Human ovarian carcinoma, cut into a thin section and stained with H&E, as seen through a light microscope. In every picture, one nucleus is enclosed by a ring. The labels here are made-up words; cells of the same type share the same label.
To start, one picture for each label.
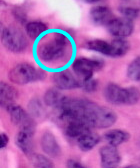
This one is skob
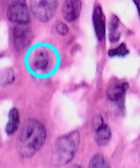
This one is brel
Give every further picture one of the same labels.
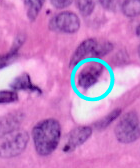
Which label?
skob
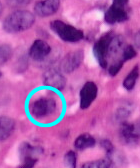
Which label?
skob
